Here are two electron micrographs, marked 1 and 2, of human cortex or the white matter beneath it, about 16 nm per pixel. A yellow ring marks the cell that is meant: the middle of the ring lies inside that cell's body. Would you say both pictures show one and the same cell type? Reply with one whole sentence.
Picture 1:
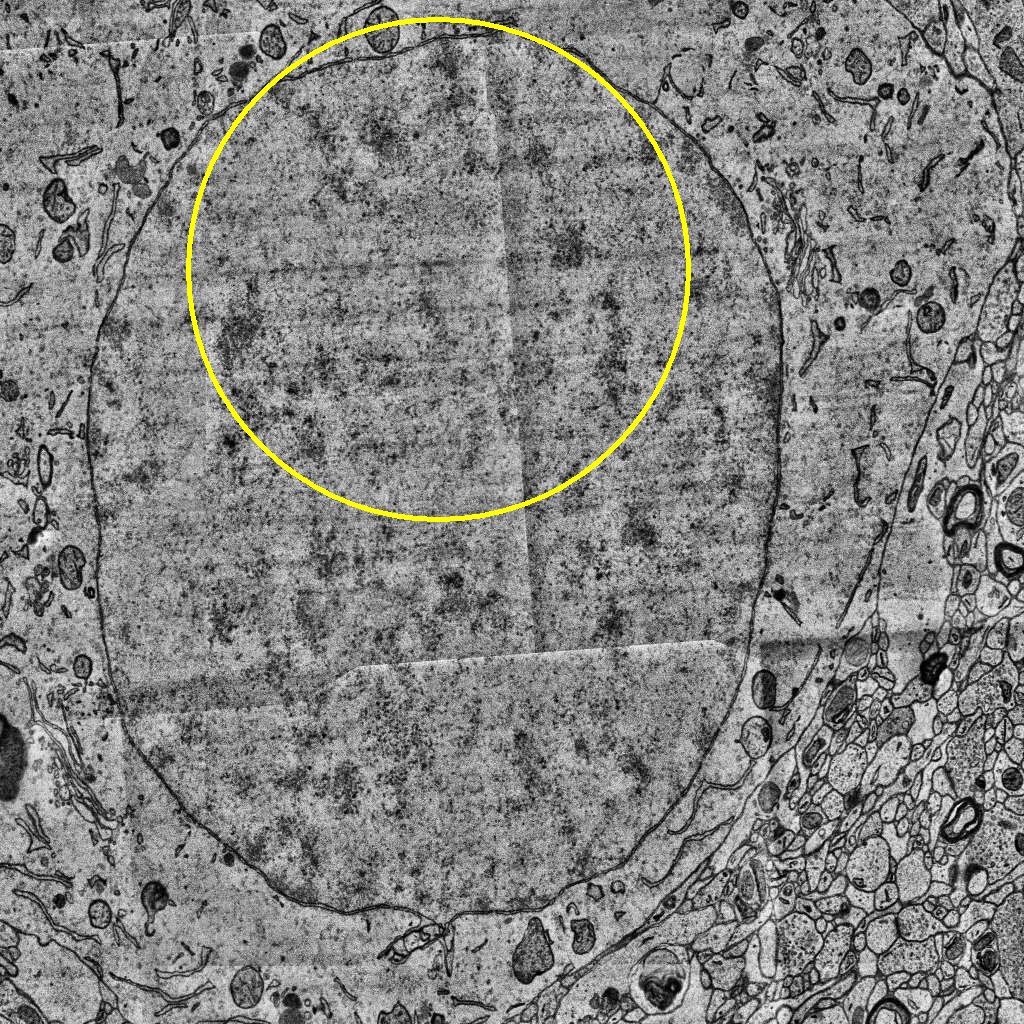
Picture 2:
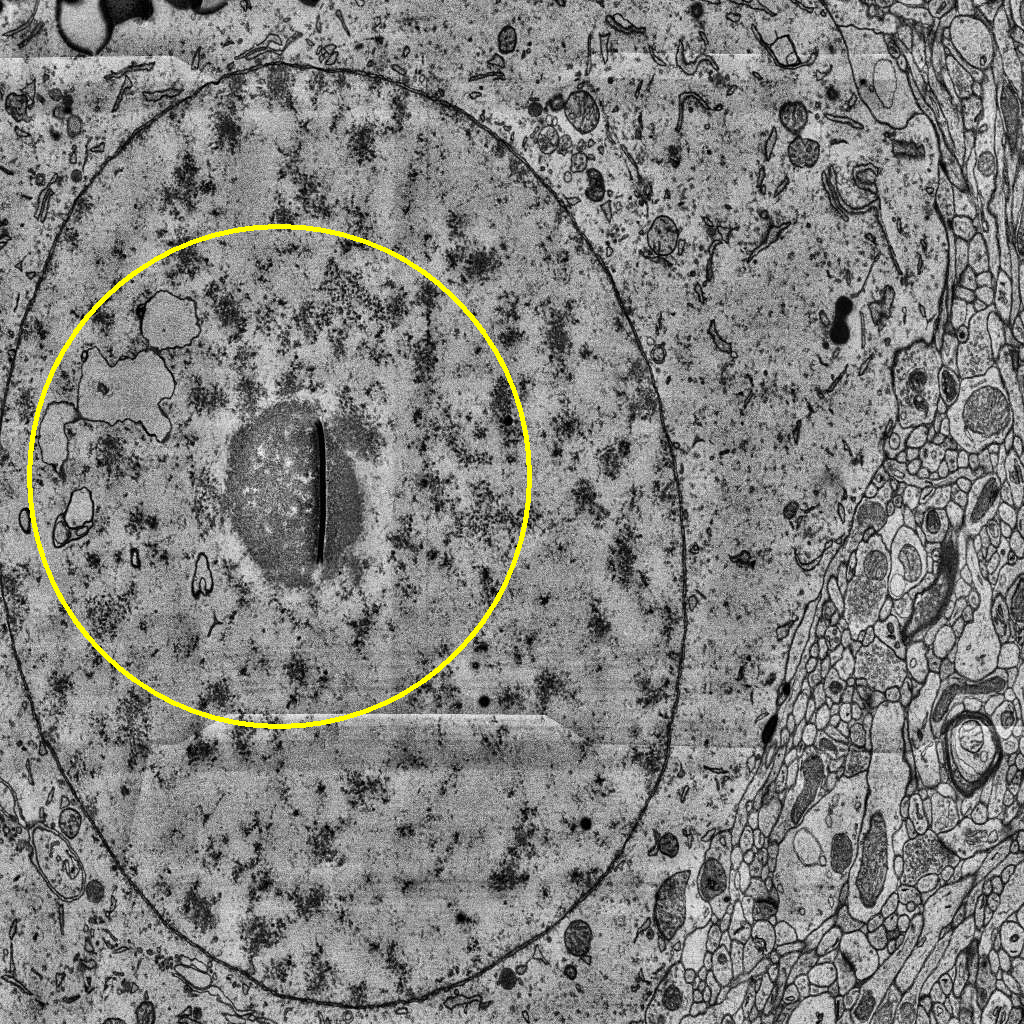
Yes, both are pyramidal neurons.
